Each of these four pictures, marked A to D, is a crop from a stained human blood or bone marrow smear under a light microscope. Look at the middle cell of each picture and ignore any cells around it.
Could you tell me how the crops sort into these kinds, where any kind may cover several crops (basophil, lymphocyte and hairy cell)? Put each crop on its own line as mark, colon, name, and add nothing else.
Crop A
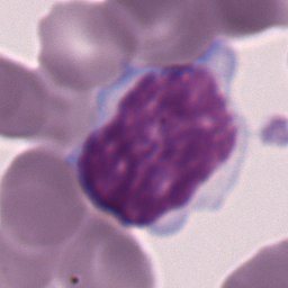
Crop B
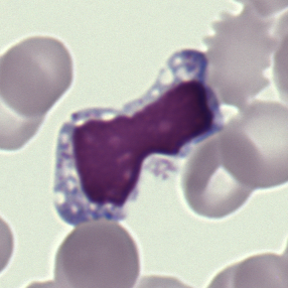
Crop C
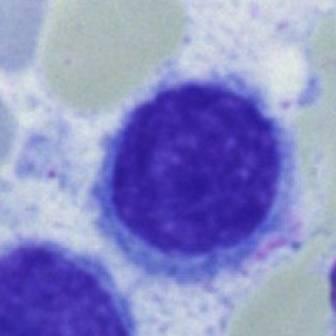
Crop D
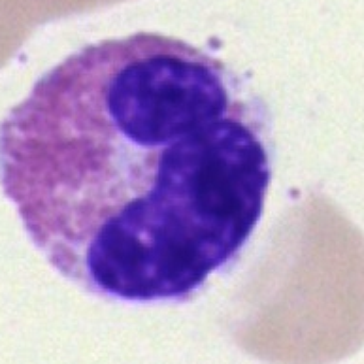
A: lymphocyte
B: lymphocyte
C: hairy cell
D: basophil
